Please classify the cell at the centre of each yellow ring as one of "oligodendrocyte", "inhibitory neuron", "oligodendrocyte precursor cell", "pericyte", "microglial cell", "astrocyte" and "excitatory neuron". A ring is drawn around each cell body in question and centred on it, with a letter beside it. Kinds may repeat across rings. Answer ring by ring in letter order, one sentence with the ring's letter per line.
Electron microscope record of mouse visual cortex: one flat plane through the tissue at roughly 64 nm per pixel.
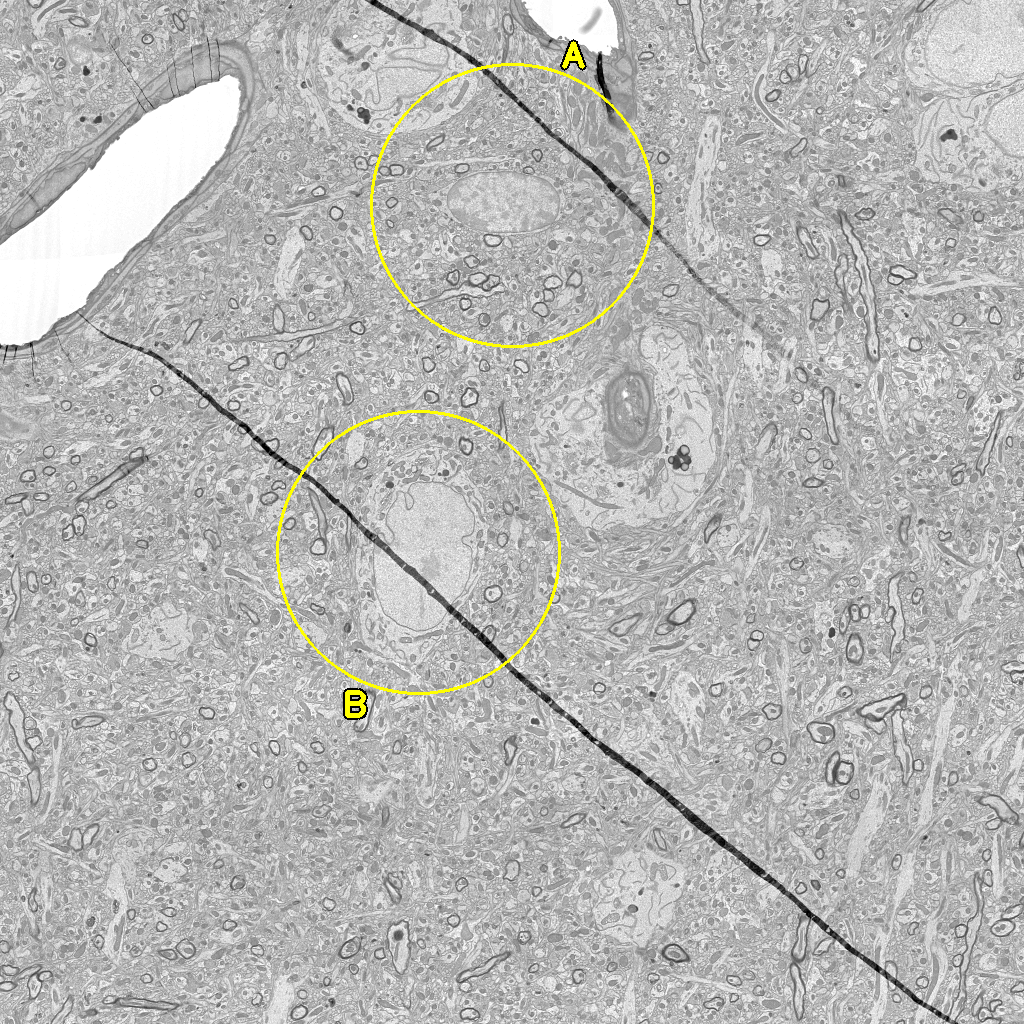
The cell at the heart of ring A is an oligodendrocyte.
The cell at the heart of ring B is an inhibitory neuron.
